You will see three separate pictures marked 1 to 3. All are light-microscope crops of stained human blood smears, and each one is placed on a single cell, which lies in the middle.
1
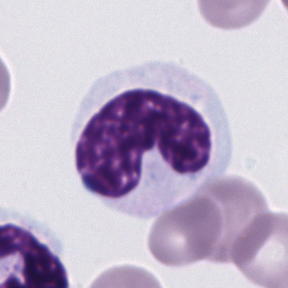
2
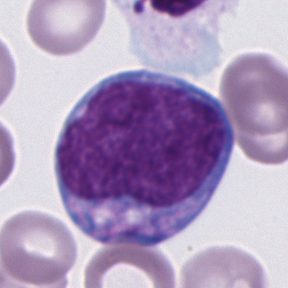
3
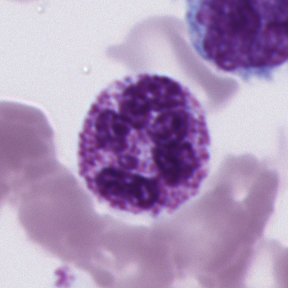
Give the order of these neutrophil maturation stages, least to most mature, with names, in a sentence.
The correct order, least to most mature, is crop 2 (a promyelocyte), crop 1 (a band neutrophil) and crop 3 (a segmented neutrophil).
